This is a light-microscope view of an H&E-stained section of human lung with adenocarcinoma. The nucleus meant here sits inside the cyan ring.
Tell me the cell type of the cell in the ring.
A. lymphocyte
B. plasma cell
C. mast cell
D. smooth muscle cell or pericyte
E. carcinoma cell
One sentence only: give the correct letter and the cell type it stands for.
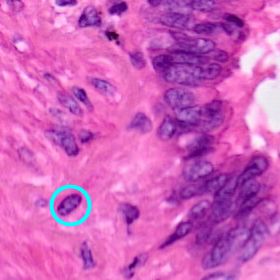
Option C is correct; the cell in the ring is a mast cell.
